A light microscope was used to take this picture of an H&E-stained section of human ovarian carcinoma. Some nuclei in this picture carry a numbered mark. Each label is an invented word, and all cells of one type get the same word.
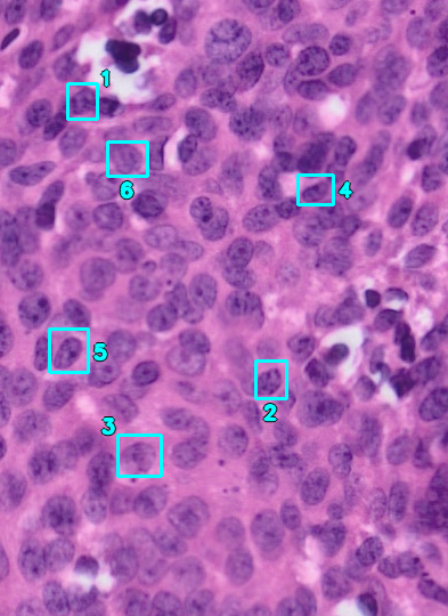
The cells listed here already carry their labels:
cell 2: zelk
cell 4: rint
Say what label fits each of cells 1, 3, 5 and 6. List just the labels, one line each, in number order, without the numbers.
rint
rint
zelk
rint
